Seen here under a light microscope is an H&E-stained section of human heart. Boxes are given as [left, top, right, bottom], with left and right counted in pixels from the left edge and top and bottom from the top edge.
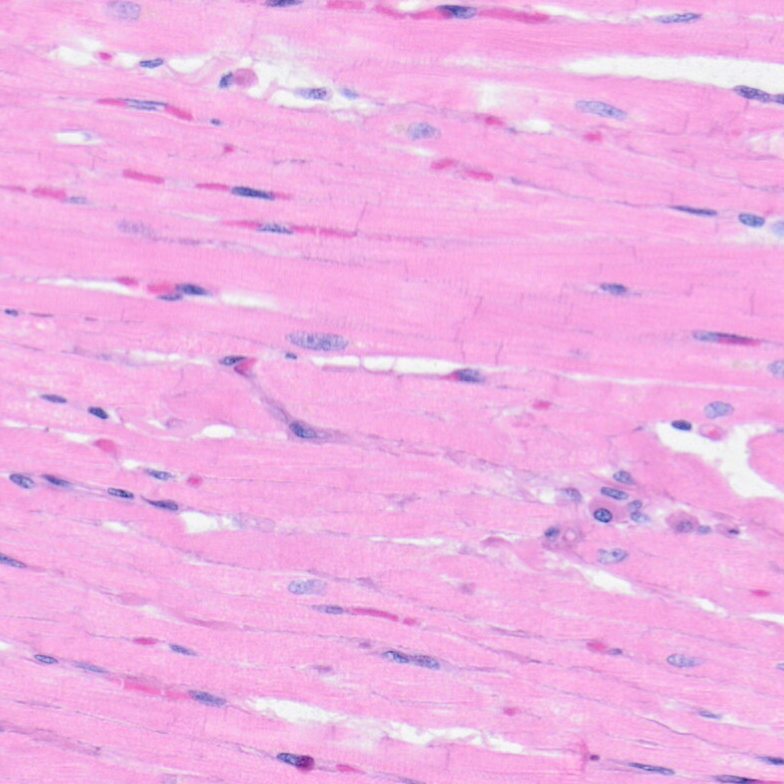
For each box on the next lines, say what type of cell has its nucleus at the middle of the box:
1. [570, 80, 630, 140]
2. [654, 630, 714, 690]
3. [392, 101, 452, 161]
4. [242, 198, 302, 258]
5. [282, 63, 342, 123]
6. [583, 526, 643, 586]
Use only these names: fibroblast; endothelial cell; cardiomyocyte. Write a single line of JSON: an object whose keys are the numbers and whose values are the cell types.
{"1": "cardiomyocyte", "2": "cardiomyocyte", "3": "cardiomyocyte", "4": "endothelial cell", "5": "fibroblast", "6": "cardiomyocyte"}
